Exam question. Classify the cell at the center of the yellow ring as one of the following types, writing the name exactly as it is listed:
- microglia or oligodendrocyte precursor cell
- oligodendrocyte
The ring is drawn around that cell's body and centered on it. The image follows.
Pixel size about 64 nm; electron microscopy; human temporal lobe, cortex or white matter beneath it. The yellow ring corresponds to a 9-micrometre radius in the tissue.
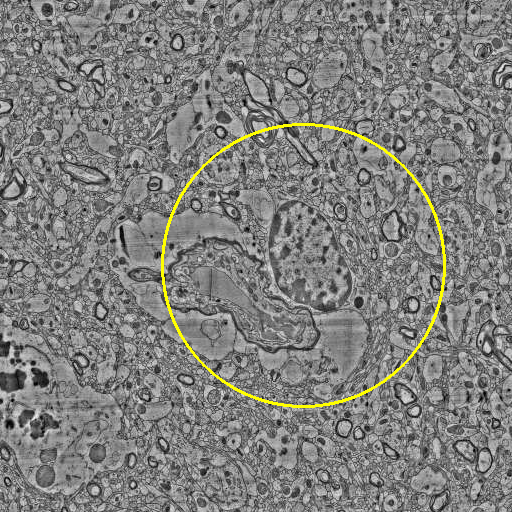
microglia or oligodendrocyte precursor cell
